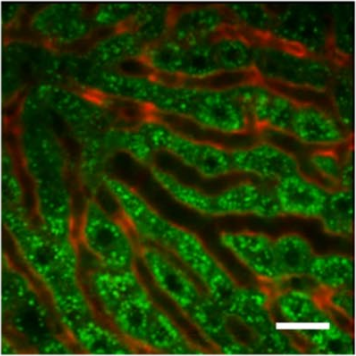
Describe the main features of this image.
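This is liver tissue in which narrow red channels, the sinusoids, run roughly parallel and branch between cords of cells. The cells in the cords carry many fine green dots in their cytoplasm, while their nuclei stand out as dark round holes without green. The green dots are small and scattered evenly, with no large round bodies among them. The red channels and the green-dotted cords alternate across the field, so each cord of cells is flanked by sinusoids.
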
